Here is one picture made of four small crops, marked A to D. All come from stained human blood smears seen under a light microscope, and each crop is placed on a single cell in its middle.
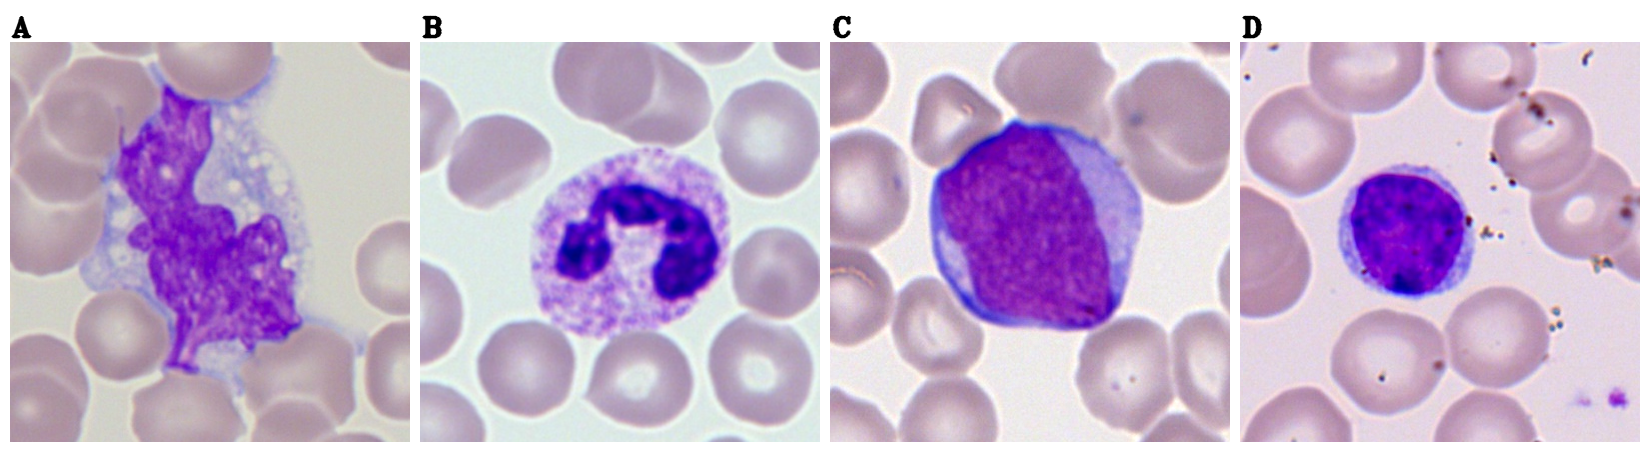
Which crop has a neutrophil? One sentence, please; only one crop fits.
The sole crop showing a neutrophil is crop B.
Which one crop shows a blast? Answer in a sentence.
Crop C is the one depicting a blast.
